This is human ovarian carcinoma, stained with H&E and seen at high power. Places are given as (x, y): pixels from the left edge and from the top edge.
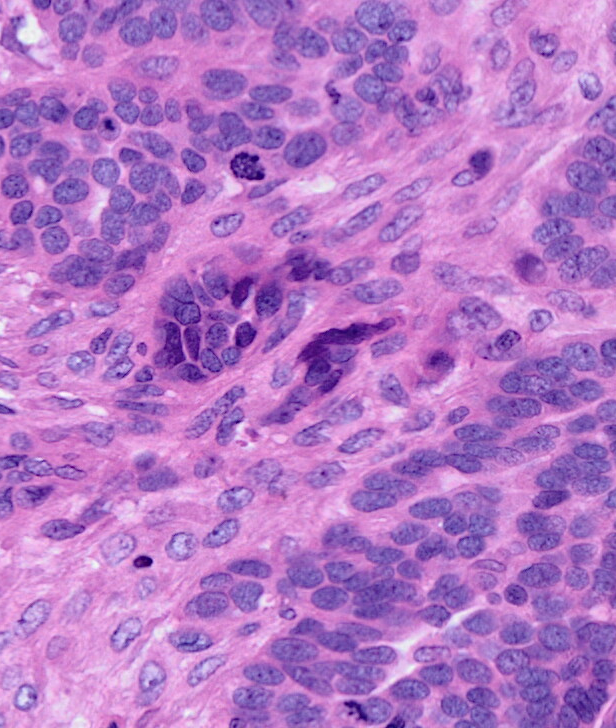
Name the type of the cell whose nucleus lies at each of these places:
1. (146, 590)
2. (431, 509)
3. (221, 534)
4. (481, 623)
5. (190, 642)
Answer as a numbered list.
1. fibroblast
2. carcinoma cell
3. fibroblast
4. carcinoma cell
5. fibroblast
